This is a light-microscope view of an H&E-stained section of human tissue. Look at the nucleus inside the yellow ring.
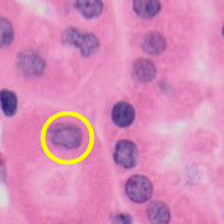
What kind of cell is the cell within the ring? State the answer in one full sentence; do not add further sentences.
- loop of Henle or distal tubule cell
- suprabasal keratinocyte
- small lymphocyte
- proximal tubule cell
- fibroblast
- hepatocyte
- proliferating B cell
Placed in its cell category, the cell within the ring is a proximal tubule cell.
